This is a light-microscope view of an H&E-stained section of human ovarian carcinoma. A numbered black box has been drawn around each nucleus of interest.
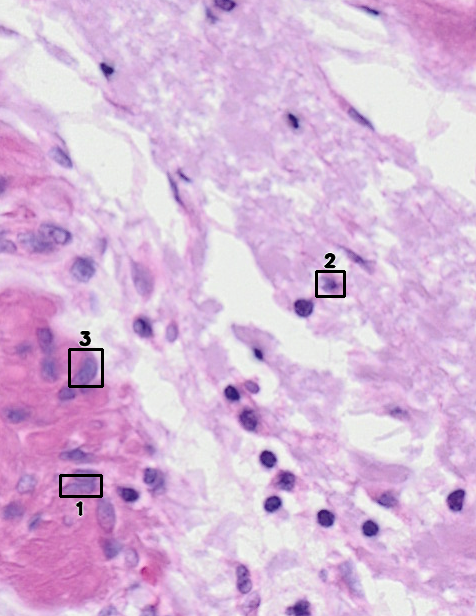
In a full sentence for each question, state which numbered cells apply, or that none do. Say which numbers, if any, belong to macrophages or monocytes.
Among the numbered cells, the one that is a macrophage or monocyte is cell 2 alone.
